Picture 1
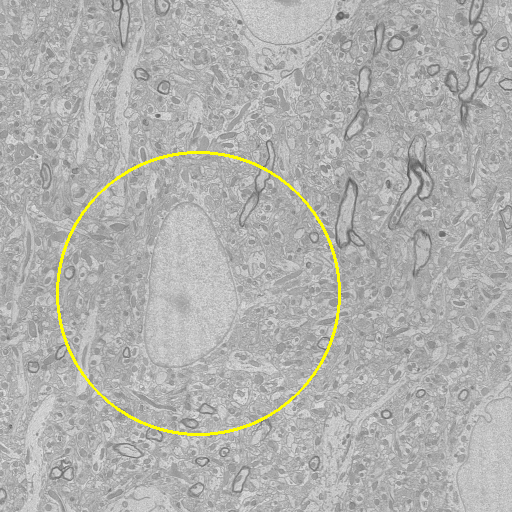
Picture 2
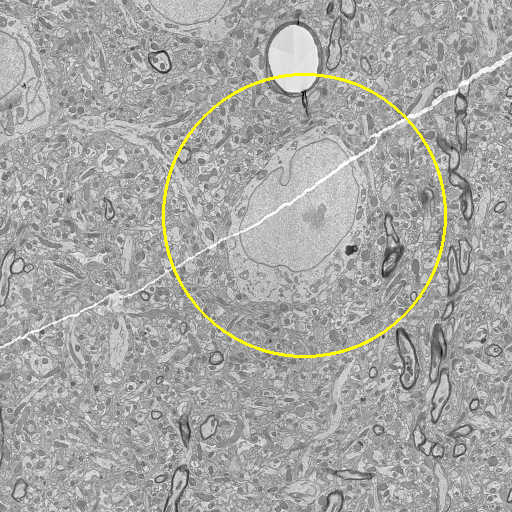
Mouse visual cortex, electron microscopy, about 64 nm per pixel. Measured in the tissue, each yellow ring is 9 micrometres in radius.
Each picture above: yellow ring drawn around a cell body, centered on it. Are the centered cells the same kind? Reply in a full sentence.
No, the two cells are two kinds of cell.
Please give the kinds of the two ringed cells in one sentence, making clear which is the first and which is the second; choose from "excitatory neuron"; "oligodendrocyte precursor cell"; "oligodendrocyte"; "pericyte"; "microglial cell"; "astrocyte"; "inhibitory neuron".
In the second picture the ringed cell is an excitatory neuron; in the first it is an astrocyte.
